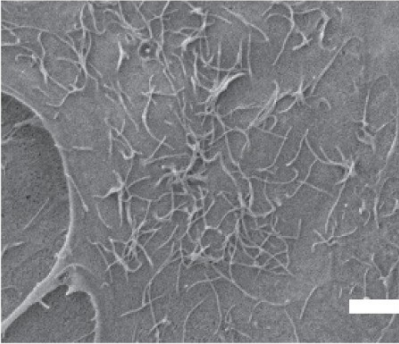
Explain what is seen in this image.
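This scanning electron micrograph shows the upper surface of a cultured cell covered with microvilli. The microvilli are long, thin, finger-like projections that curve, branch and cross one another, forming a dense tangle over the centre of the cell. Toward the edges they become sparser and the smooth membrane between them shows through.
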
